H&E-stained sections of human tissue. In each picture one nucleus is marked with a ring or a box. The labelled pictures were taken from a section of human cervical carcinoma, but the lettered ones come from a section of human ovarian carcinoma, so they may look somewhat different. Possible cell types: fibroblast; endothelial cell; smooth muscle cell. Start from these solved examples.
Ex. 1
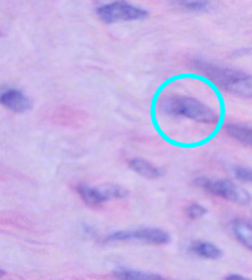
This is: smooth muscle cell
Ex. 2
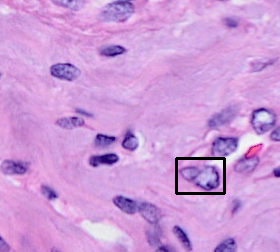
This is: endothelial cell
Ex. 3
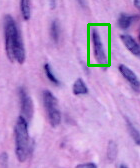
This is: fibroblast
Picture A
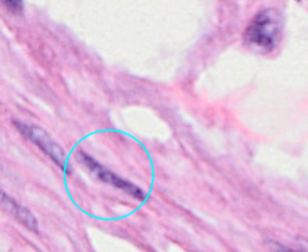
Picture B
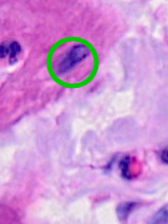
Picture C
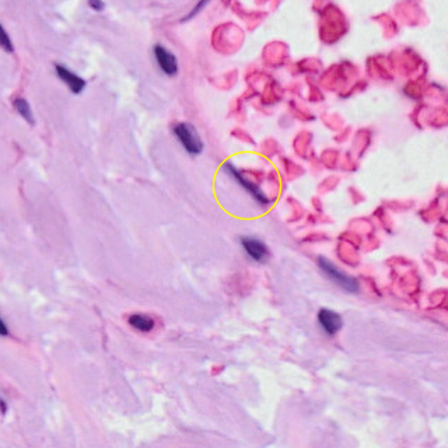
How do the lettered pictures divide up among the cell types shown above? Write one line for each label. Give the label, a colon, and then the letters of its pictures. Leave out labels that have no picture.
fibroblast: A
endothelial cell: C
smooth muscle cell: B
